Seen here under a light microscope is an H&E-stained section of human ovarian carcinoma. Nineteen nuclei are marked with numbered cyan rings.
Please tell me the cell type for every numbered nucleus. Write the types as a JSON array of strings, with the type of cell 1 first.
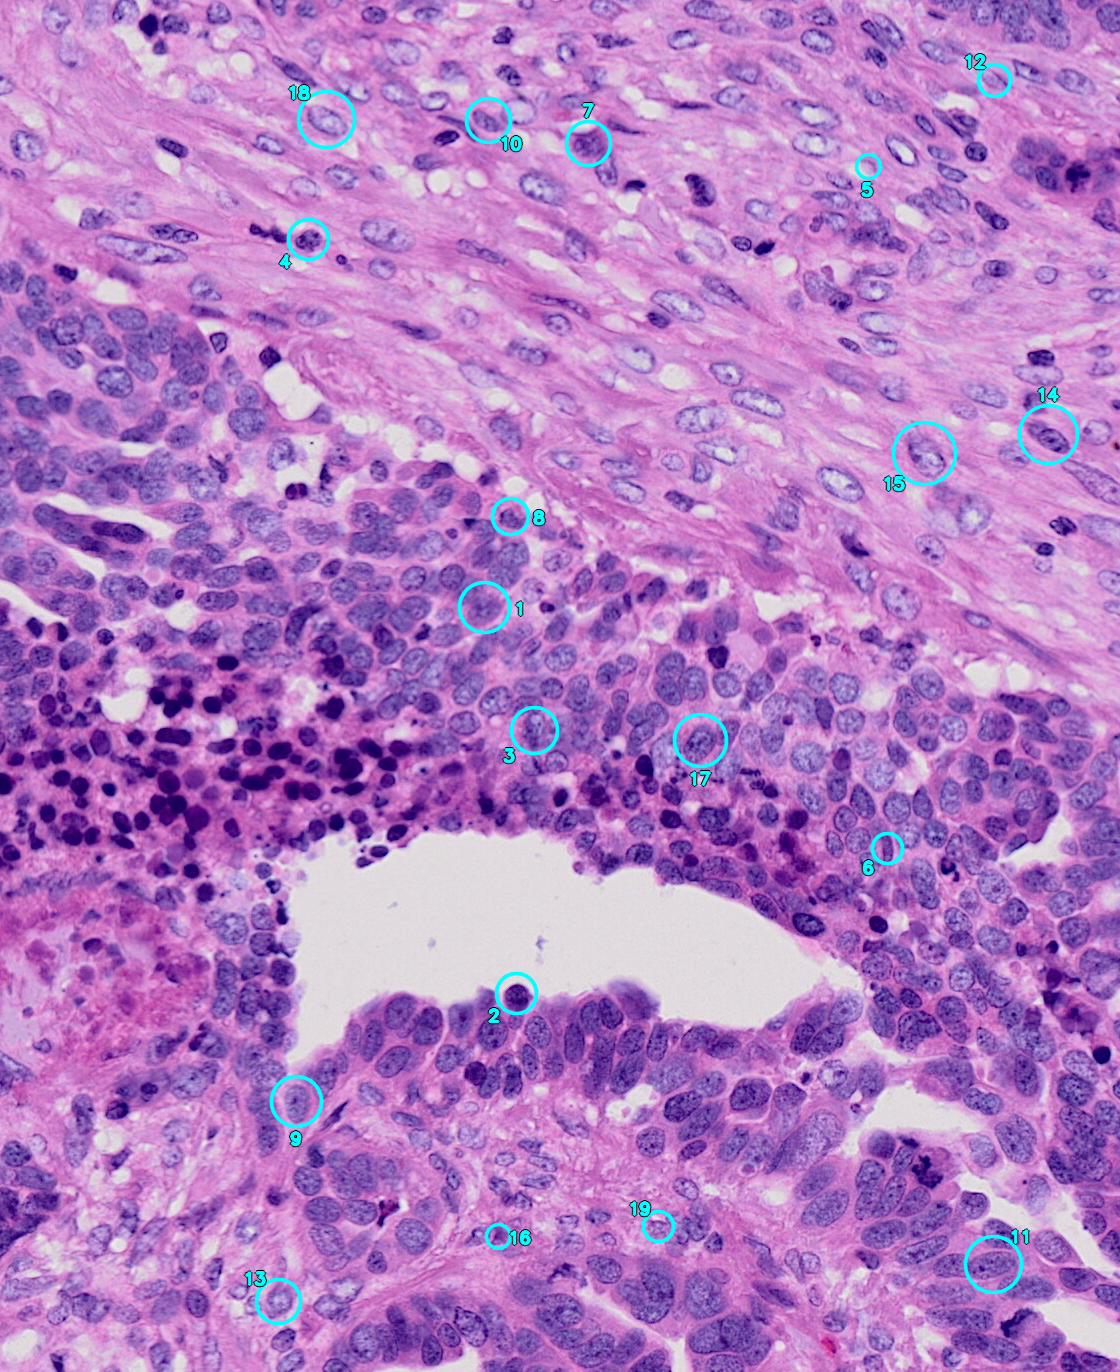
["carcinoma cell", "carcinoma cell", "carcinoma cell", "lymphocyte", "fibroblast", "carcinoma cell", "endothelial cell", "macrophage or monocyte", "carcinoma cell", "macrophage or monocyte", "carcinoma cell", "fibroblast", "fibroblast", "macrophage or monocyte", "fibroblast", "fibroblast", "carcinoma cell", "fibroblast", "fibroblast"]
